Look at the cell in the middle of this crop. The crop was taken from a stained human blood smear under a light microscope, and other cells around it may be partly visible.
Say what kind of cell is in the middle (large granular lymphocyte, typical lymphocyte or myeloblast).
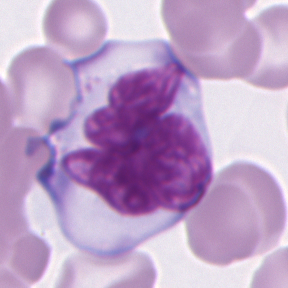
large granular lymphocyte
